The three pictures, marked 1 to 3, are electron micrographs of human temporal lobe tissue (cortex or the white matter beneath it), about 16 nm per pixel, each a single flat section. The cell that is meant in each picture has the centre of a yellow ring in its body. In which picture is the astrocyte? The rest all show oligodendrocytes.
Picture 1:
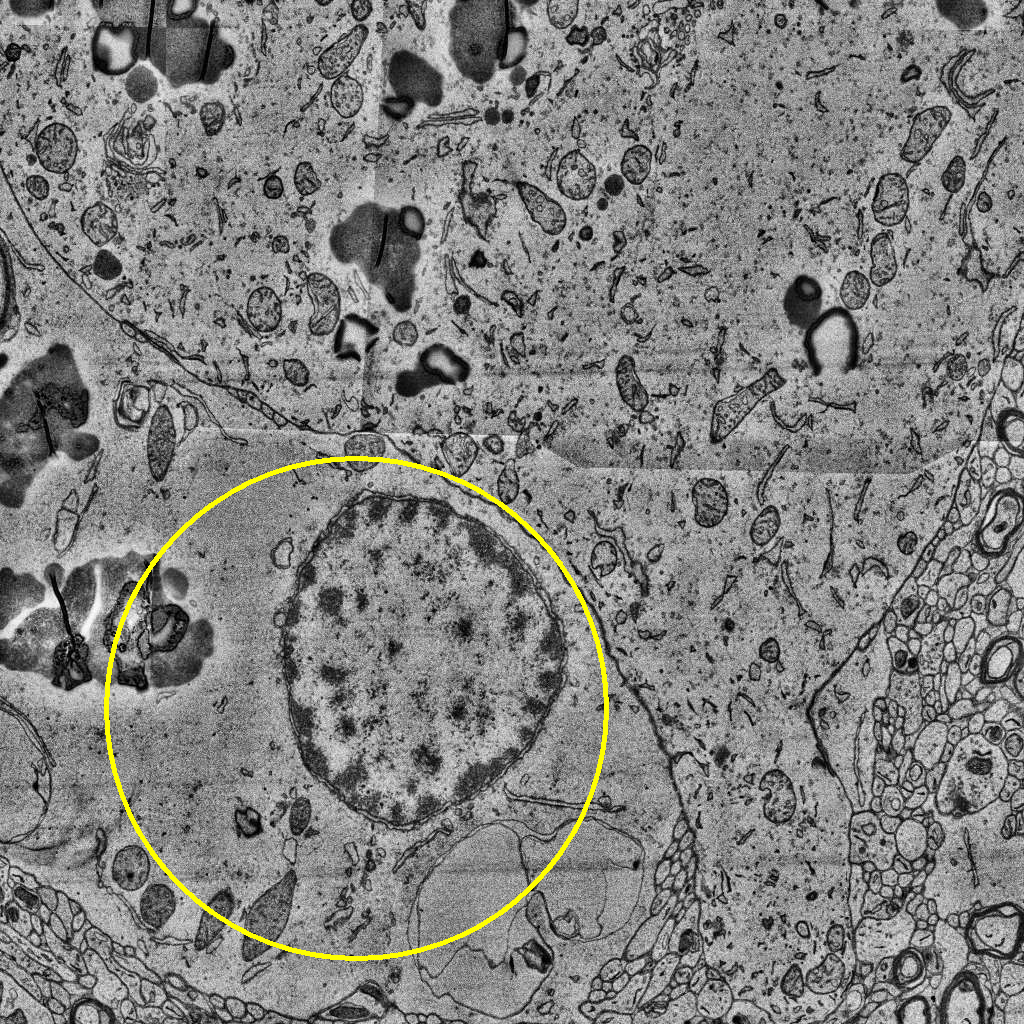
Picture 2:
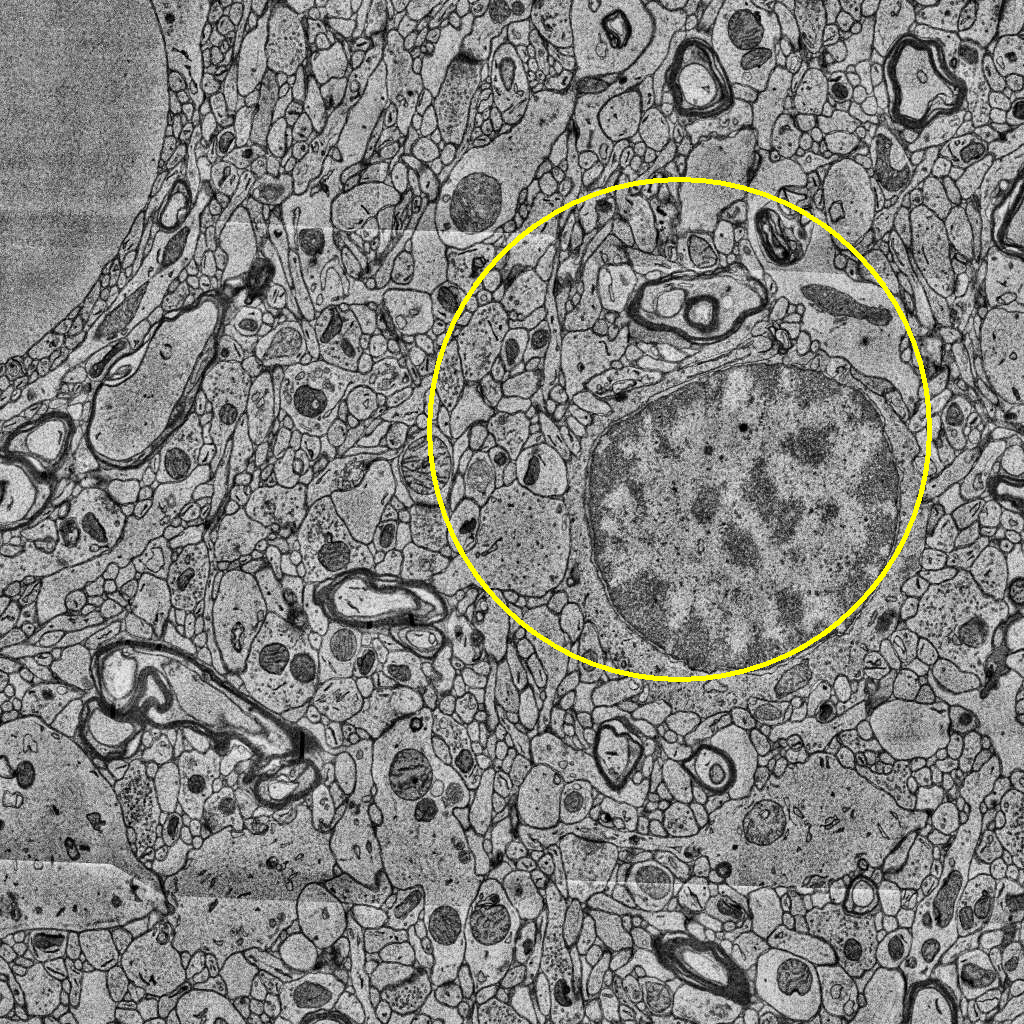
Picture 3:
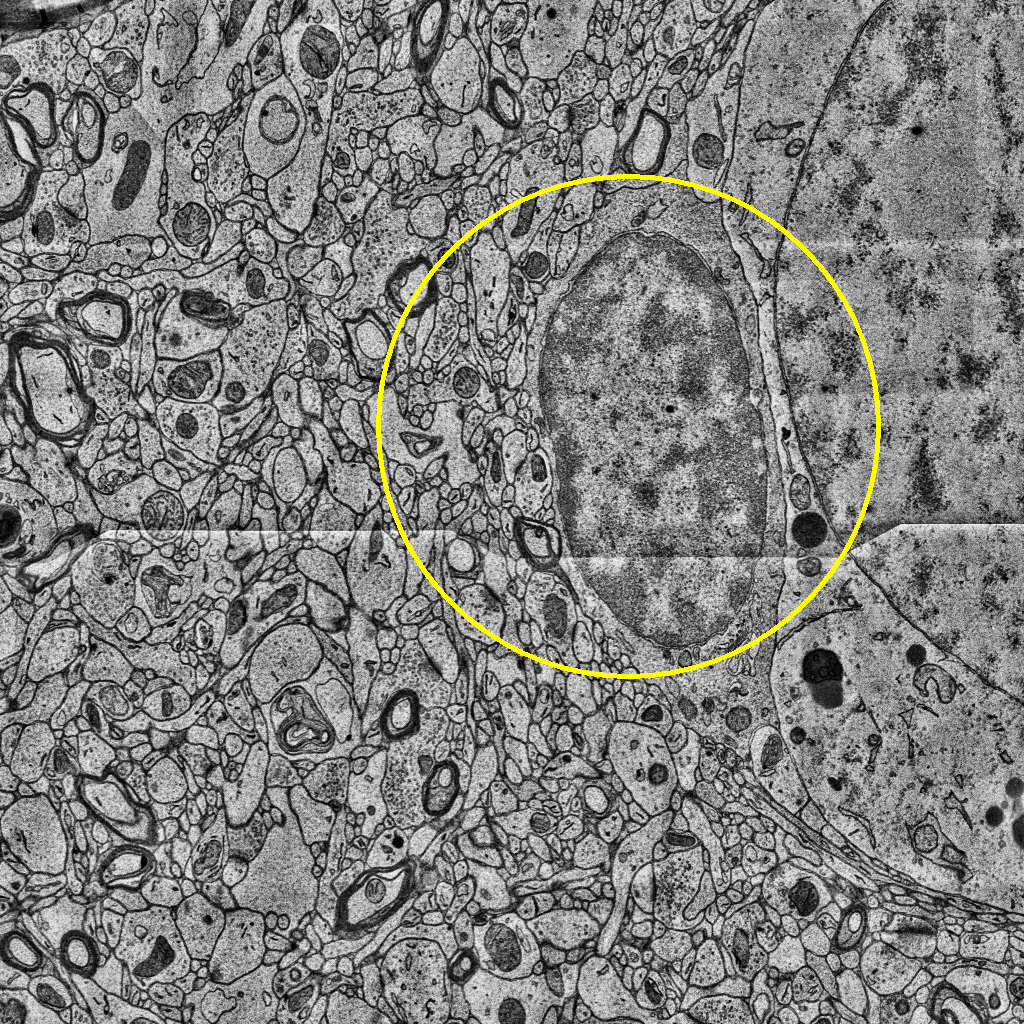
It is picture 1 that shows the astrocyte.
